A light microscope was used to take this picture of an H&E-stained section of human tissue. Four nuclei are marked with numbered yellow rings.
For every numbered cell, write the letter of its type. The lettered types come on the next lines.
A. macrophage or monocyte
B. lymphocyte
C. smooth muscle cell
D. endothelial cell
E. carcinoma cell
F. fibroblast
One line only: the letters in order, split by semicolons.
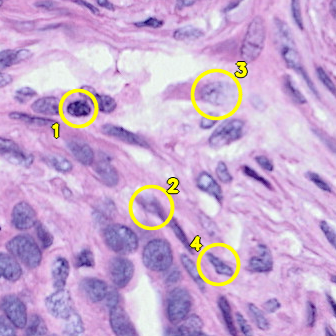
B; F; F; F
